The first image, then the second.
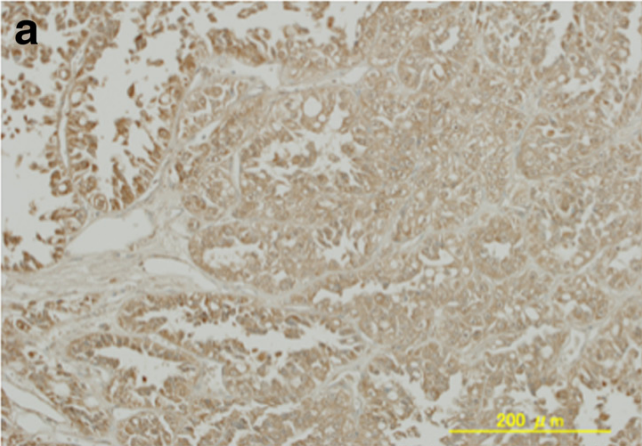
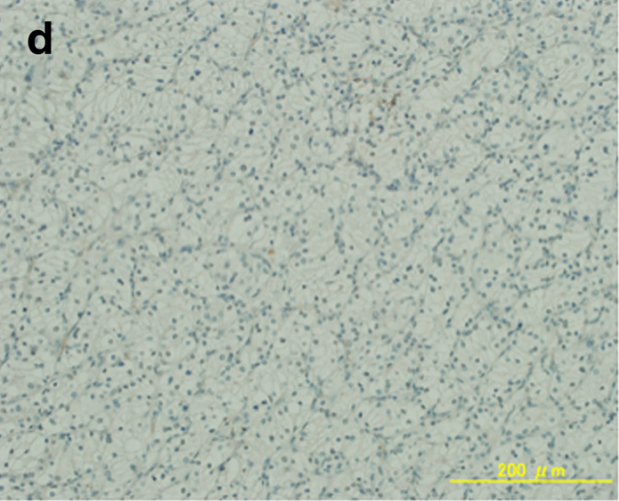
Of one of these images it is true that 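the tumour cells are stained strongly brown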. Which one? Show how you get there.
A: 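Second image: cells have clear cytoplasm with blue nuclei and no brown colour. First image: the epithelial cells are diffusely brown throughout.
Answer: the first image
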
